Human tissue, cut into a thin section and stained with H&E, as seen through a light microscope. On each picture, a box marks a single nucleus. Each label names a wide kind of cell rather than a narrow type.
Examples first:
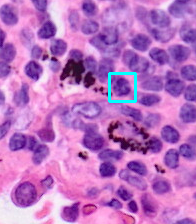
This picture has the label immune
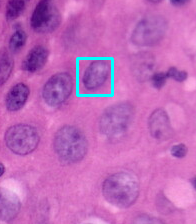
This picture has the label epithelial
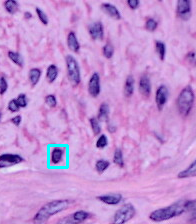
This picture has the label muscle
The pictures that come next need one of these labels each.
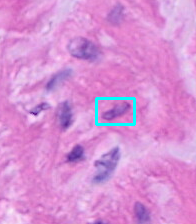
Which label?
muscle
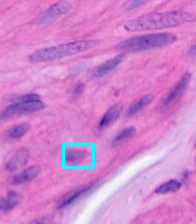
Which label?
muscle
